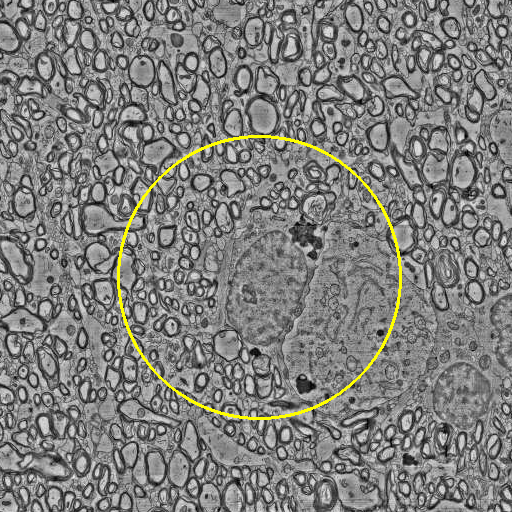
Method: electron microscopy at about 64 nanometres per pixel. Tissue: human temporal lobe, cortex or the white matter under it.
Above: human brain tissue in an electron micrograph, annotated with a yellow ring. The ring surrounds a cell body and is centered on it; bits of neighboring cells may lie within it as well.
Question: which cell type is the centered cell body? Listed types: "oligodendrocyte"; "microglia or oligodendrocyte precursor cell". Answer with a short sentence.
The centered cell body is an oligodendrocyte.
